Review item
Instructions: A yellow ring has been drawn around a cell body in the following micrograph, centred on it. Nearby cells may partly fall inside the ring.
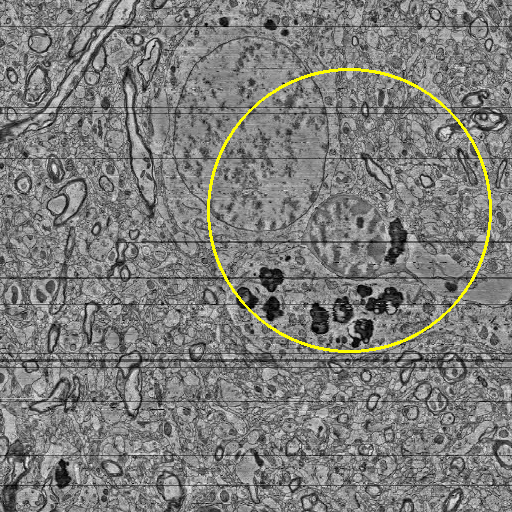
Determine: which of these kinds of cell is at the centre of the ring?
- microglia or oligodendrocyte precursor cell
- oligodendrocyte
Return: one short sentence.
The cell body in the middle of the ring is that of an oligodendrocyte.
